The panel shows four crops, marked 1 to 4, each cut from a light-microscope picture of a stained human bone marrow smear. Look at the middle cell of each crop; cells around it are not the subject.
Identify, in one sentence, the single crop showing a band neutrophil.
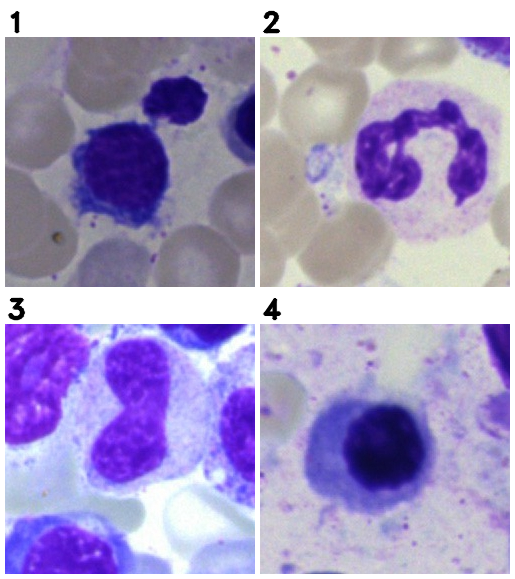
The sole crop showing a band neutrophil is crop 3.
